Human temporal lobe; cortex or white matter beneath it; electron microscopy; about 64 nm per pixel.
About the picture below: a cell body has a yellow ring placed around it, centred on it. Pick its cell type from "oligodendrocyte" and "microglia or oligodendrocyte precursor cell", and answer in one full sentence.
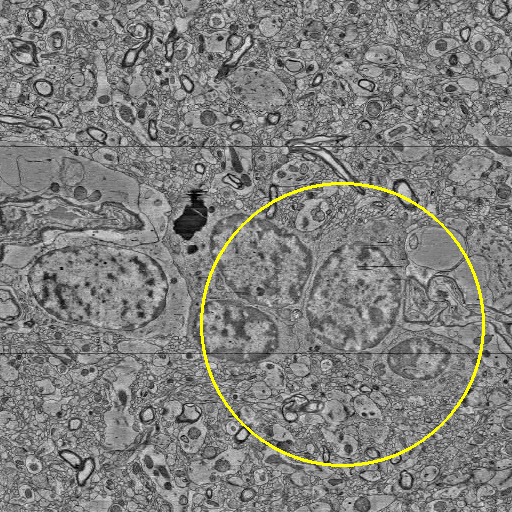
In the picture, an oligodendrocyte is the cell sitting at the centre of the yellow ring.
